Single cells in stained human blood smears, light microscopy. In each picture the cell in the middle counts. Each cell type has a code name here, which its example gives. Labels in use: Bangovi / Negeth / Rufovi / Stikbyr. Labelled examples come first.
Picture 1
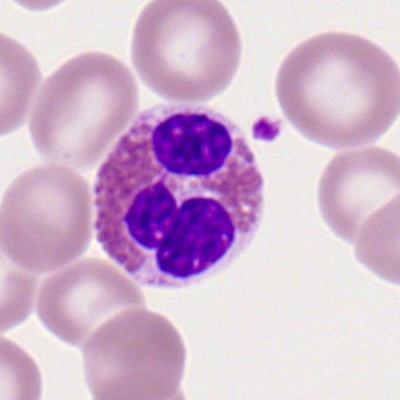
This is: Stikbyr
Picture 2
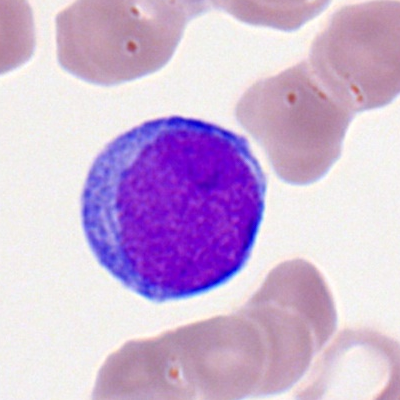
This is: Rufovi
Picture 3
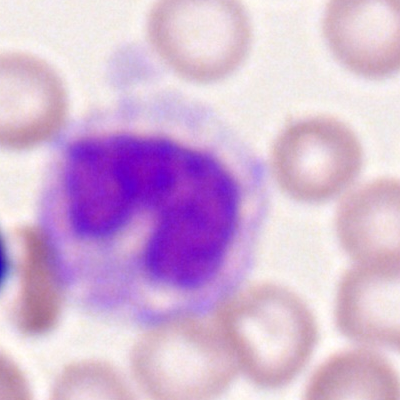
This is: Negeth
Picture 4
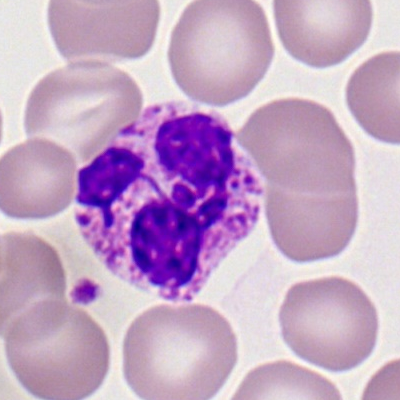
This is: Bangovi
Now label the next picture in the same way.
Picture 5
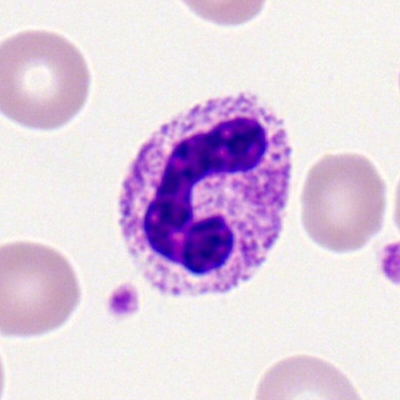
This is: Negeth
